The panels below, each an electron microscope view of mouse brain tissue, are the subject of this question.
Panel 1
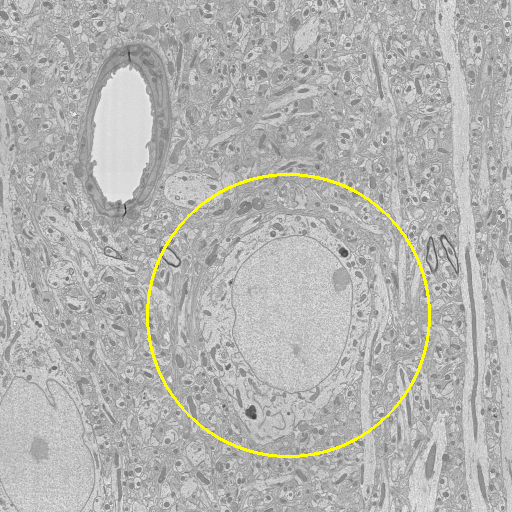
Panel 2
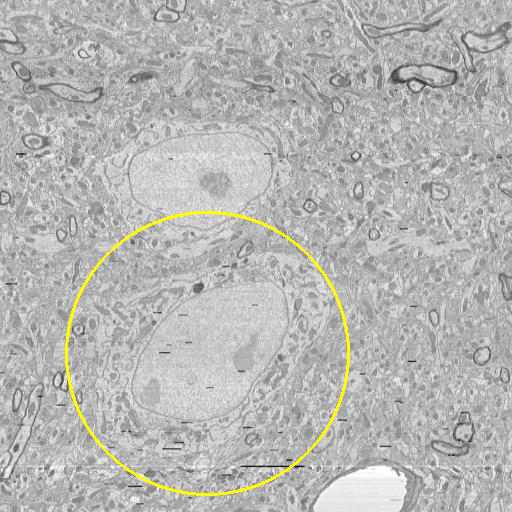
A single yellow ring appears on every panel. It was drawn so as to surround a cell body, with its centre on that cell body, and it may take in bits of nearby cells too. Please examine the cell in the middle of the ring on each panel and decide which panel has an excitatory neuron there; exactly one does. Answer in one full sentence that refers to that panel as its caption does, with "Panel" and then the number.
Panel 1 is where the ring's central cell answers the question.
